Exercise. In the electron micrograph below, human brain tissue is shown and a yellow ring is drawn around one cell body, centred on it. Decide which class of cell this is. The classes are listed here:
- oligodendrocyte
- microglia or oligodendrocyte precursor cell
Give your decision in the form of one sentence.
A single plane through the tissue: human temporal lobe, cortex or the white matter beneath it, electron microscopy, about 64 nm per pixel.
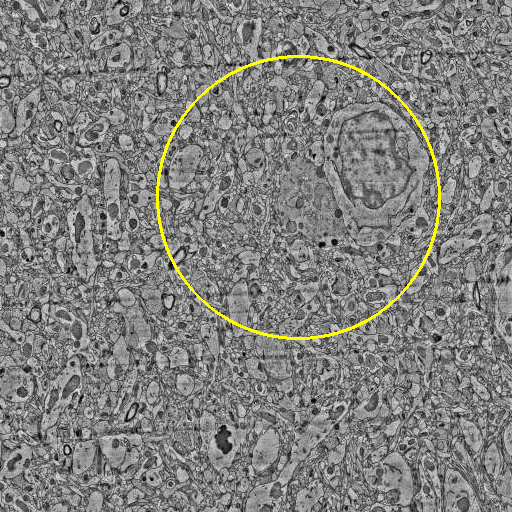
The cell body marked by the ring belongs to an oligodendrocyte.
